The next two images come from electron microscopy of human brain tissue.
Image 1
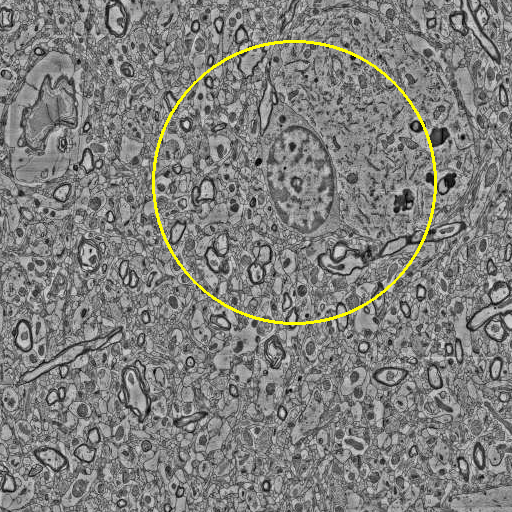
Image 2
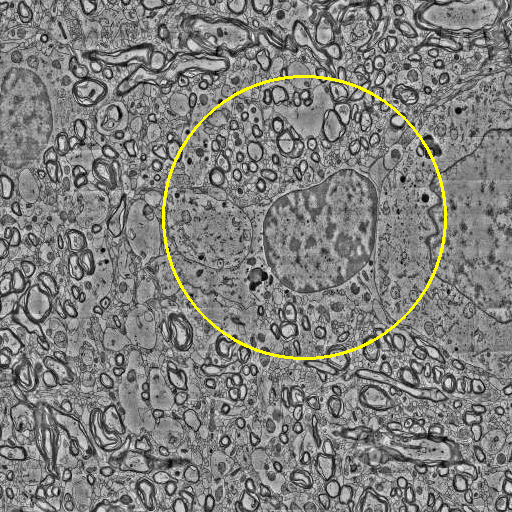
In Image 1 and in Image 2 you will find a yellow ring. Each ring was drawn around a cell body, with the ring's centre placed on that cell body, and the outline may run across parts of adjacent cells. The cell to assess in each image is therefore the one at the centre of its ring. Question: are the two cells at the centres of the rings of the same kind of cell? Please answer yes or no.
no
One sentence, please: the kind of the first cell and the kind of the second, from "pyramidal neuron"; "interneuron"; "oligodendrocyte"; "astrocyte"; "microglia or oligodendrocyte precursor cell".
The ring in the first picture surrounds an oligodendrocyte, and the ring in the second surrounds a microglial cell or oligodendrocyte precursor cell.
